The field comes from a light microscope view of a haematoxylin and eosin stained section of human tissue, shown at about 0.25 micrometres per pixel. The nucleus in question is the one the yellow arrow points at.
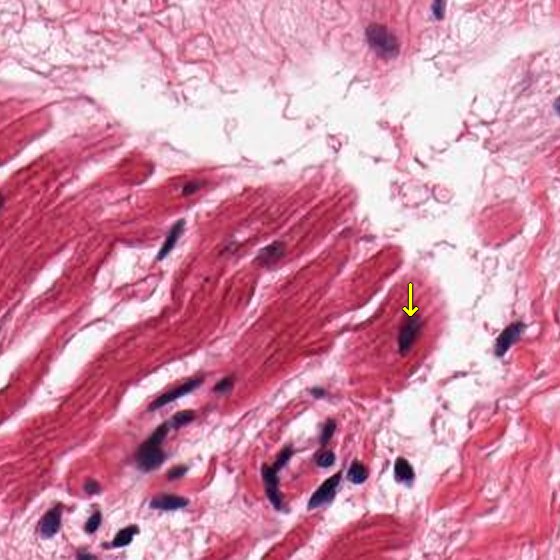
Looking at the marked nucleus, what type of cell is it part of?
cardiomyocyte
